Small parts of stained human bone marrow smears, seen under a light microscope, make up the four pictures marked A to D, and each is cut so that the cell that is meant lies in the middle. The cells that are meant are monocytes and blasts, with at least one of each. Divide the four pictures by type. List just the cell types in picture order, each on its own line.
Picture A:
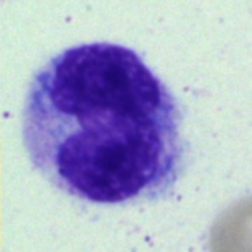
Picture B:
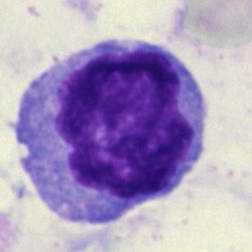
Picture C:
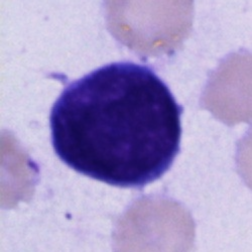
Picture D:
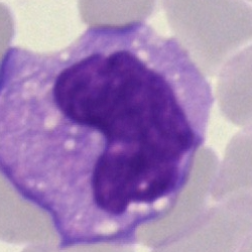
monocyte
monocyte
blast
monocyte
